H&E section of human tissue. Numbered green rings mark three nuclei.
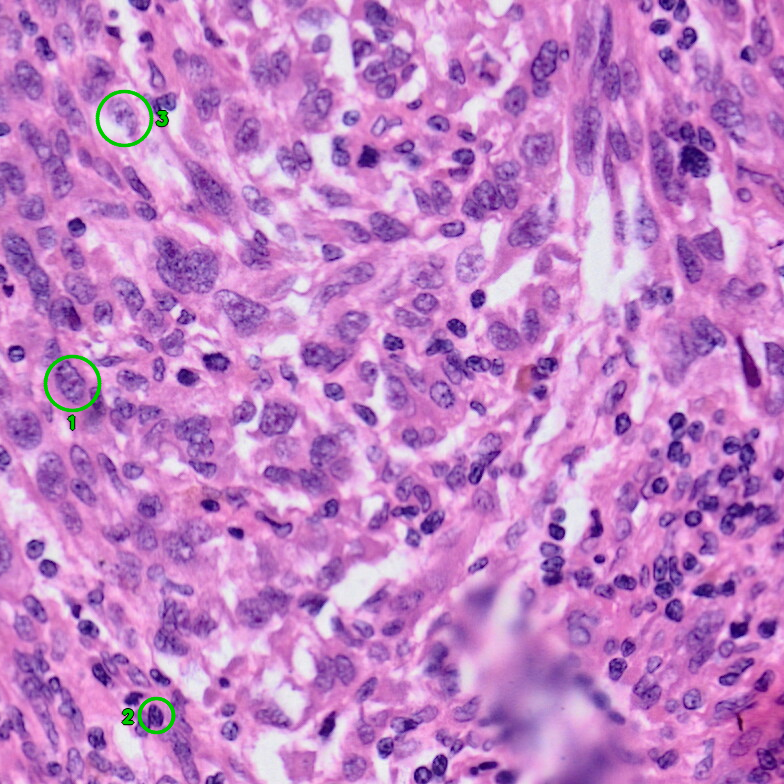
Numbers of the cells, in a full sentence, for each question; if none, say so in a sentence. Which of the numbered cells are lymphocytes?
Of the cells bearing numbers, the only one that is a lymphocyte is cell 2.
